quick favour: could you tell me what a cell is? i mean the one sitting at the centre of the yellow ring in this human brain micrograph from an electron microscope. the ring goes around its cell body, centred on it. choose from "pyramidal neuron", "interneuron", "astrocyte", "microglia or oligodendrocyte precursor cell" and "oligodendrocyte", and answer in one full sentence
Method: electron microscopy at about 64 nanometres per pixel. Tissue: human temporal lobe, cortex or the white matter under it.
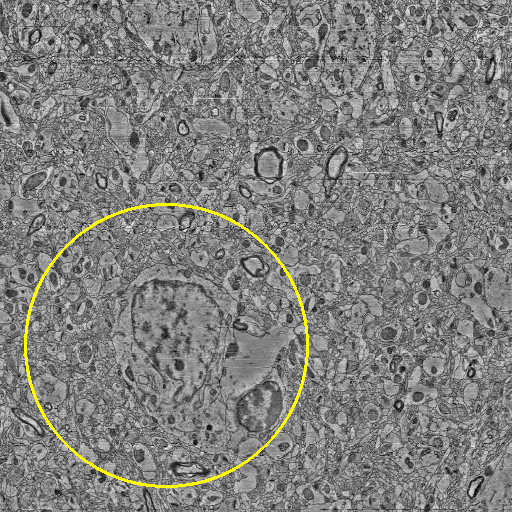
That's an interneuron, the cell sitting at the centre of the yellow ring.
